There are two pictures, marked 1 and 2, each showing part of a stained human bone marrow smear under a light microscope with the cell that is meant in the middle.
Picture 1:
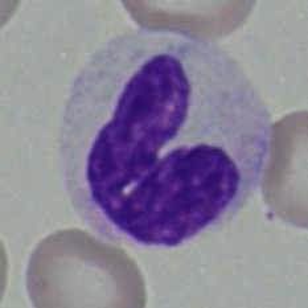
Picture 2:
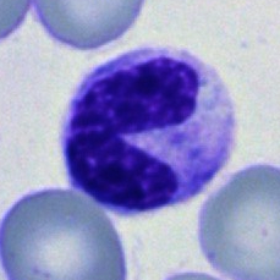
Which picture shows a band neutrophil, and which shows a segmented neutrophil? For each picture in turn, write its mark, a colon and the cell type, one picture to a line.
1: segmented neutrophil
2: band neutrophil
